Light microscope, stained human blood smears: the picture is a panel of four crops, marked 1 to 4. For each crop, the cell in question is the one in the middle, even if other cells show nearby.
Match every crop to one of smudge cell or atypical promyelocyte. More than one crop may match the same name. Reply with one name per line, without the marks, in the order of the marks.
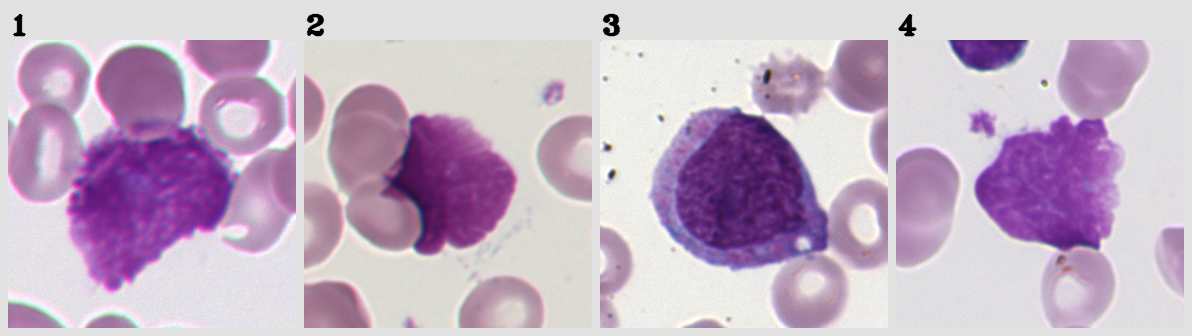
smudge cell
smudge cell
atypical promyelocyte
smudge cell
